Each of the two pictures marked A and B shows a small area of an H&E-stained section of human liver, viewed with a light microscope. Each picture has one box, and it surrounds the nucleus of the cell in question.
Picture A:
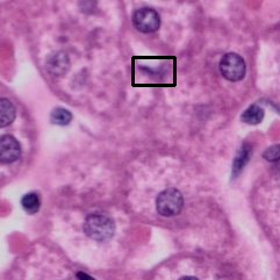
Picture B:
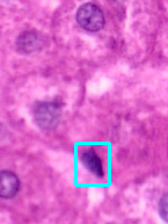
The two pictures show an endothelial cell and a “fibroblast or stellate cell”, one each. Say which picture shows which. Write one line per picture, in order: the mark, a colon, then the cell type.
A: endothelial cell
B: fibroblast or stellate cell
